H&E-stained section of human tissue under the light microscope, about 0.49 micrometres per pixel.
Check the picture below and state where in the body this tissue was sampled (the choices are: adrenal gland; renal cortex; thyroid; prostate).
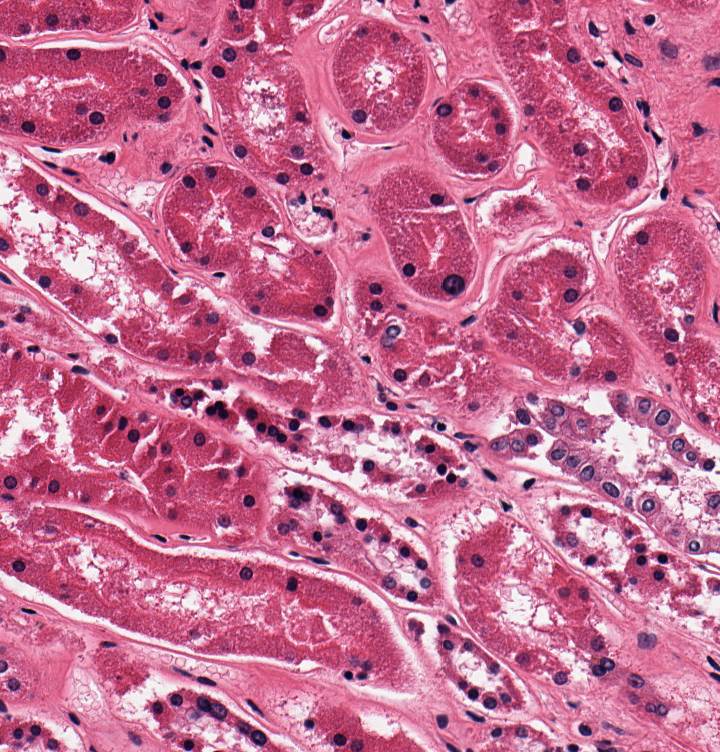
renal cortex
